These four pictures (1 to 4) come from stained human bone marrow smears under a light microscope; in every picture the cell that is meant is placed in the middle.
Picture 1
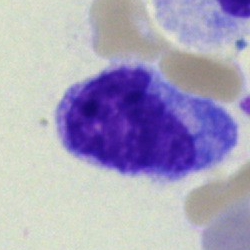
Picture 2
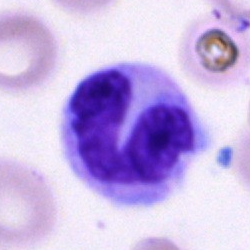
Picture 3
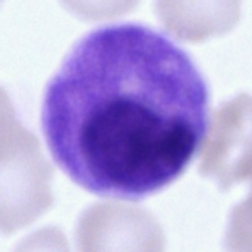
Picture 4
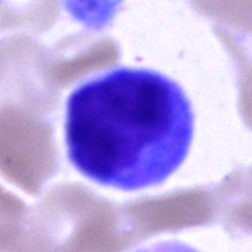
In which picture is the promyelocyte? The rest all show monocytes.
3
